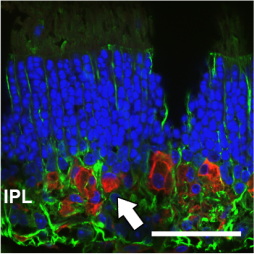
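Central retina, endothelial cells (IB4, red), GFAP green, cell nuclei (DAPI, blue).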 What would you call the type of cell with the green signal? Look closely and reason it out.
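Activated Mϋller cells. Thin green fibres run radially through the whole thickness of the nuclear layer. The green fibres are continuous from inner to outer retina between stacked nuclei.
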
